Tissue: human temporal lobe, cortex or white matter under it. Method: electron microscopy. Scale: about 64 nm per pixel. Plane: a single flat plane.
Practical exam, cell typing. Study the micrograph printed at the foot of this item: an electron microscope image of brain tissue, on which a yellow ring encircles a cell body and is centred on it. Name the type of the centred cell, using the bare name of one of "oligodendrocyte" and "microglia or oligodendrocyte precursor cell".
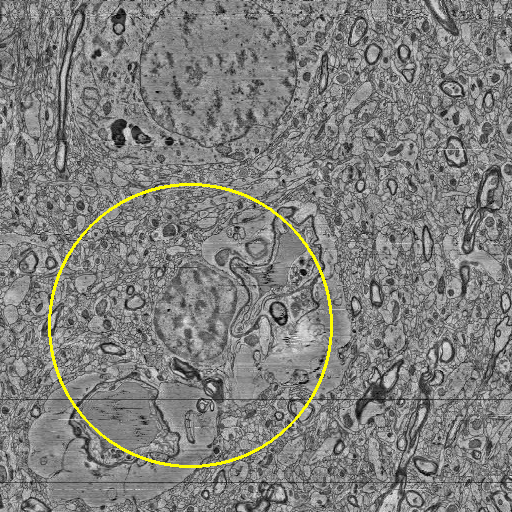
oligodendrocyte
